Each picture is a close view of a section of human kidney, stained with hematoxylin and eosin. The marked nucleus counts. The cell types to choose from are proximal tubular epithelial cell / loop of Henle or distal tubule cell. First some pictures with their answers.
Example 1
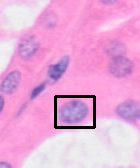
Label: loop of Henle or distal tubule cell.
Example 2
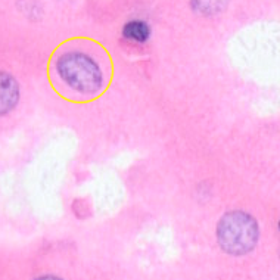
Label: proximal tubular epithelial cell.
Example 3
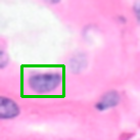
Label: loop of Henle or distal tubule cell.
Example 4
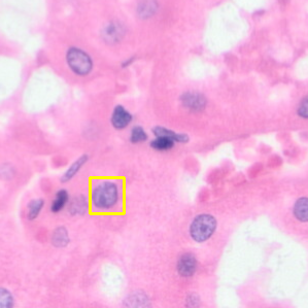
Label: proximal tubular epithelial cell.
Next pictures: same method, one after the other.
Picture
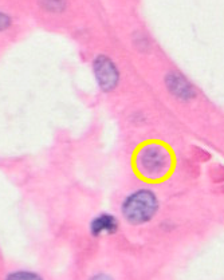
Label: loop of Henle or distal tubule cell.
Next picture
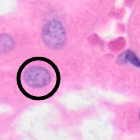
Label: proximal tubular epithelial cell.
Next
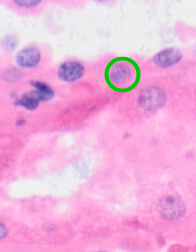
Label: loop of Henle or distal tubule cell.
